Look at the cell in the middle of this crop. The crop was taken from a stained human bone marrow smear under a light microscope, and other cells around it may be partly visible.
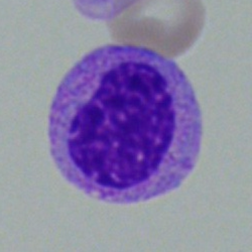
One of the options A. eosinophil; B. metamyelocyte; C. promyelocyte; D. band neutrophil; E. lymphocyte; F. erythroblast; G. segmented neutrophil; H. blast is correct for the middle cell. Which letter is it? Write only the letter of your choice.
B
